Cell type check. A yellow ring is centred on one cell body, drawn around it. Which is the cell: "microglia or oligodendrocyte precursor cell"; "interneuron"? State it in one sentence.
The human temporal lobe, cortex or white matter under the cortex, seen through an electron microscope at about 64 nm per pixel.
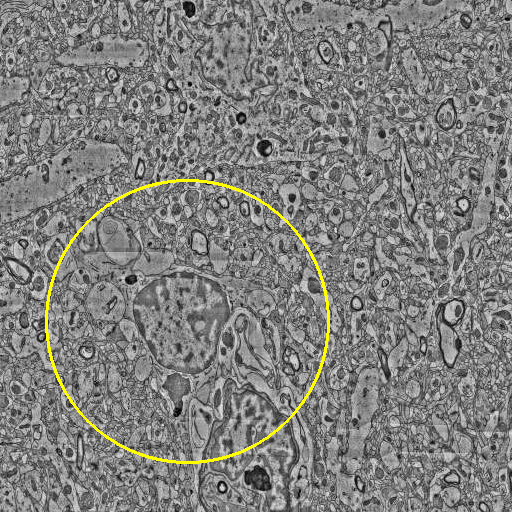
The cell body at the ring's centre belongs to a microglial cell or oligodendrocyte precursor cell.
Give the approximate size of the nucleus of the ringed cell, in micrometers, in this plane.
The nucleus comes to roughly 6 micrometres across in this plane.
